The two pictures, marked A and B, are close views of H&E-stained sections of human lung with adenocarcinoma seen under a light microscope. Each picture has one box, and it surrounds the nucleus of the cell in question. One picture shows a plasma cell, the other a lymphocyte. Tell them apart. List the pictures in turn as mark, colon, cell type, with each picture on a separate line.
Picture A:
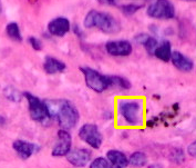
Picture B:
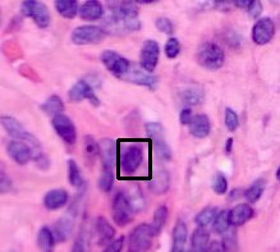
A: lymphocyte
B: plasma cell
